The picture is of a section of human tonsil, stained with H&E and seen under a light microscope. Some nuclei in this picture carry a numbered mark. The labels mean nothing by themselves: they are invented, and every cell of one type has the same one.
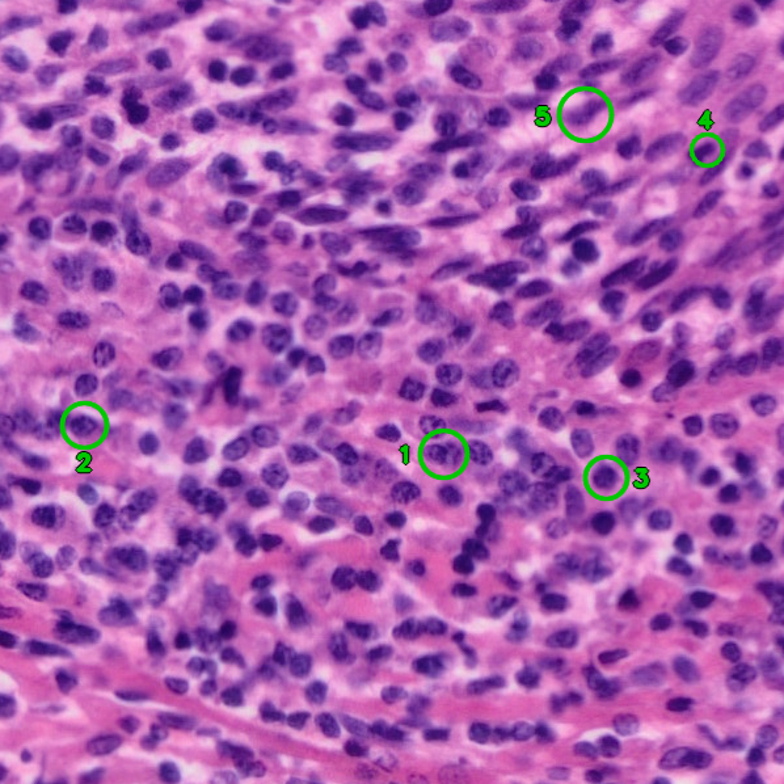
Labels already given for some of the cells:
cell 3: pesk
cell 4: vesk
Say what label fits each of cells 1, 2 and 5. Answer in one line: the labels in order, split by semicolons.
pesk; pesk; vesk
